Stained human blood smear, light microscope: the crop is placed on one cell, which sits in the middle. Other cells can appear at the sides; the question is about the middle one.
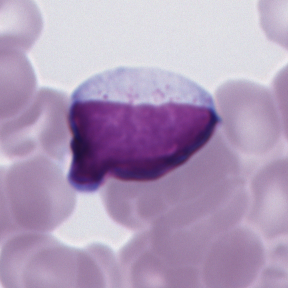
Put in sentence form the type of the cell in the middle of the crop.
Classification of the middle cell gives a large granular lymphocyte.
